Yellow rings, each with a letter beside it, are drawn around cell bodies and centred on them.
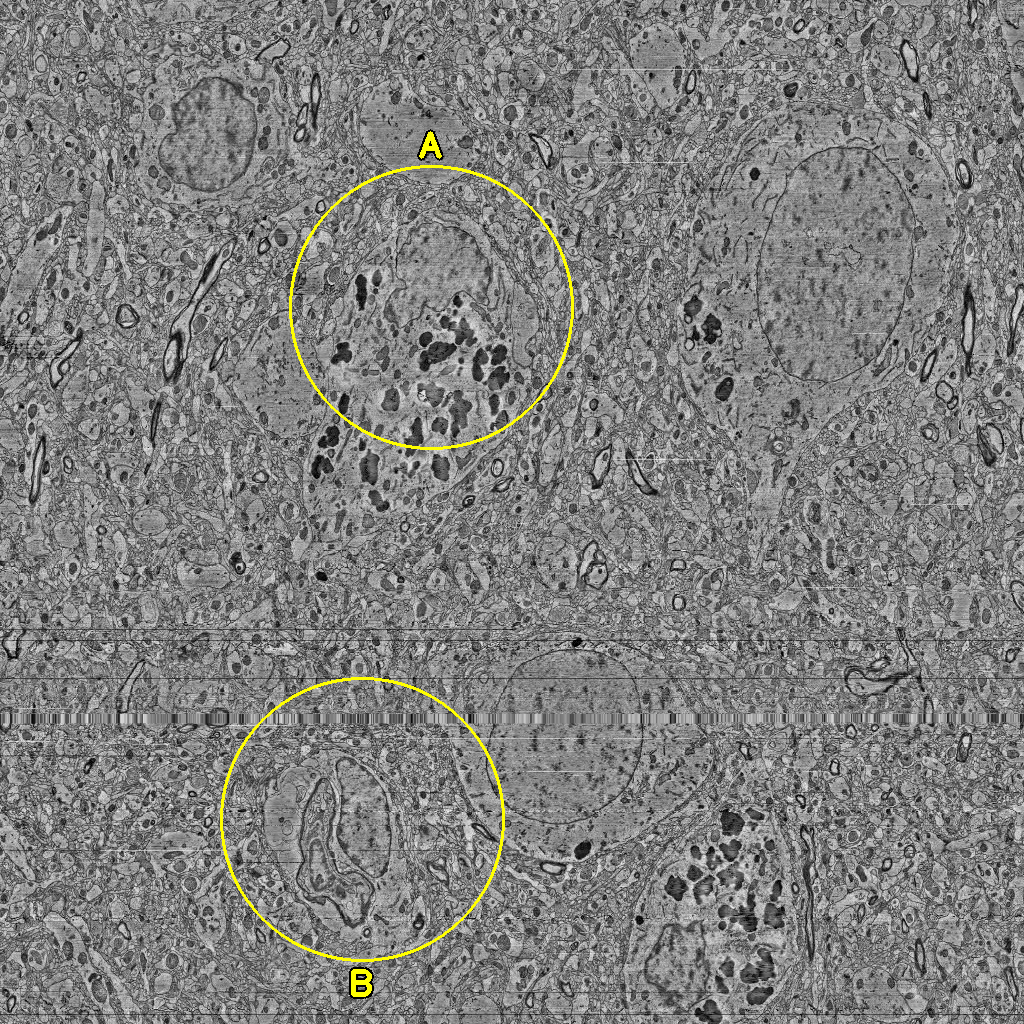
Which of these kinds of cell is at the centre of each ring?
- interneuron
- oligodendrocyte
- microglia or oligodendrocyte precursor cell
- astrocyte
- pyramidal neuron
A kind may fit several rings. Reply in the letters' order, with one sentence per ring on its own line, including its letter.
The cell in the middle of ring A is an interneuron.
The cell in the middle of ring B is a microglial cell or oligodendrocyte precursor cell.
